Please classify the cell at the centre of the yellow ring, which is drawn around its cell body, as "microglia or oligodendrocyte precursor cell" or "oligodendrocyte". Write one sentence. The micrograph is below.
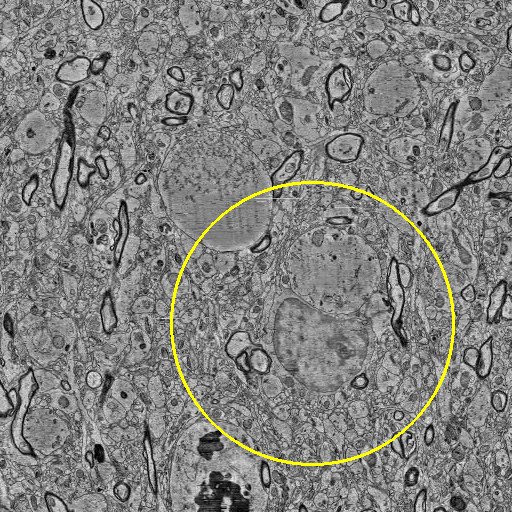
The cell at the ring's centre is classified as an oligodendrocyte.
